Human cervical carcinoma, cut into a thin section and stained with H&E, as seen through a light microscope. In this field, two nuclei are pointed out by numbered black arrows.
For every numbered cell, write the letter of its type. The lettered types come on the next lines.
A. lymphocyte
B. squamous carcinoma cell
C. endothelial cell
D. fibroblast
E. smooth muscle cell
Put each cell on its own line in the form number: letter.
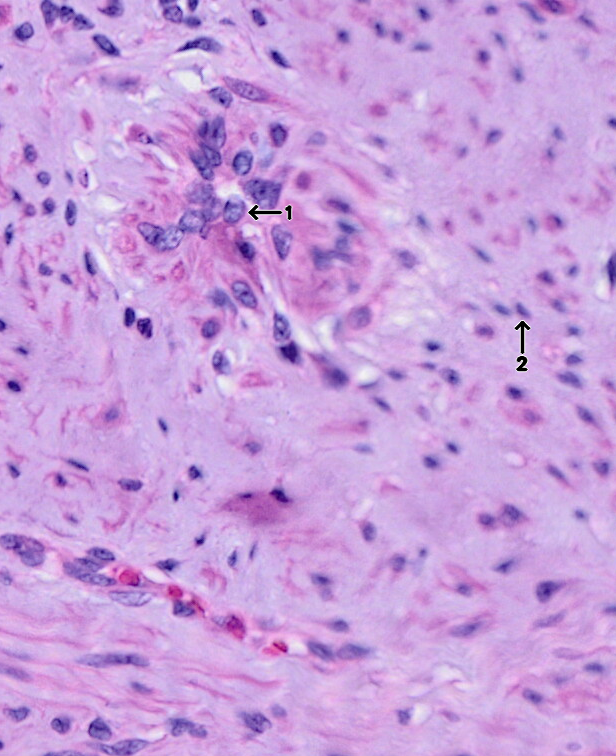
1: C
2: D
